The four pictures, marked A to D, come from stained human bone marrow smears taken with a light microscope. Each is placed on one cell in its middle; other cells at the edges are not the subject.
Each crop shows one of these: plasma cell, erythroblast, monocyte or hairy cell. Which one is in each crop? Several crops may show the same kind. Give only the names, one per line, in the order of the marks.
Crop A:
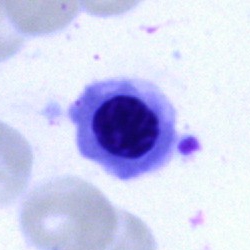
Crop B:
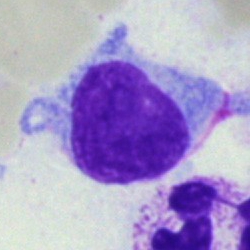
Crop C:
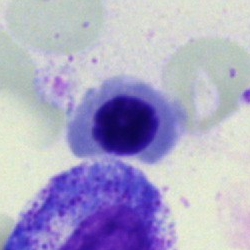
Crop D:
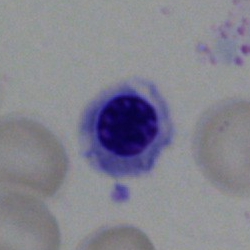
erythroblast
hairy cell
erythroblast
erythroblast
